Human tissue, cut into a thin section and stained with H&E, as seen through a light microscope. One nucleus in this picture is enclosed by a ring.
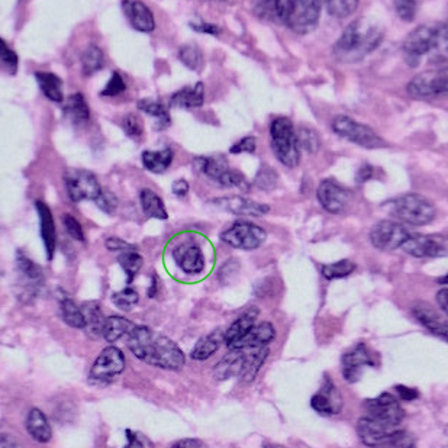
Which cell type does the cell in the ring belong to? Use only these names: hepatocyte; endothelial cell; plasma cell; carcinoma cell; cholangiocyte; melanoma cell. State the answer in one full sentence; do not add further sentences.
Cell type answer for this item: the cell in the ring is a melanoma cell.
